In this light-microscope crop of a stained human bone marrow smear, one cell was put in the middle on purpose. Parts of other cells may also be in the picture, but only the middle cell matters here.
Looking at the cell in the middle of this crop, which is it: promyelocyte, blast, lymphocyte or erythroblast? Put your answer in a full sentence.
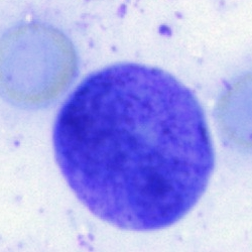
The central cell shown in this smear crop is a promyelocyte.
